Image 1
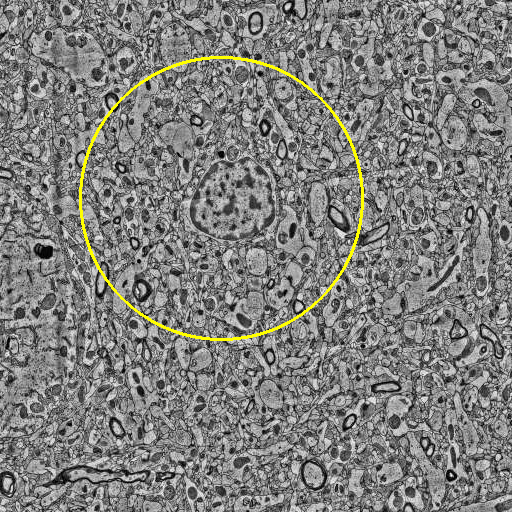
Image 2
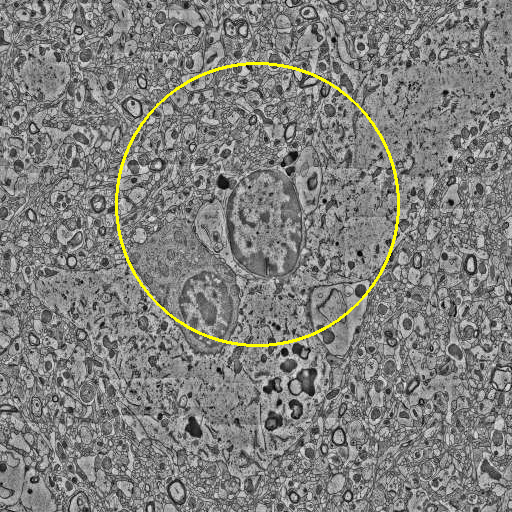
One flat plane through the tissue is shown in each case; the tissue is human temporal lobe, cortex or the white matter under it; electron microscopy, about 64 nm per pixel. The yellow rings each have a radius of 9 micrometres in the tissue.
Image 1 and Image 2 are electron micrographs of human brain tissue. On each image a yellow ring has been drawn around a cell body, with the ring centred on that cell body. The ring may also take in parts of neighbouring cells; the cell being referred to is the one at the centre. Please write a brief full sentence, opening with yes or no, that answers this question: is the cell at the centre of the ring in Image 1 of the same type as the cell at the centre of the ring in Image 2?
Yes, both cells are of the same type.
